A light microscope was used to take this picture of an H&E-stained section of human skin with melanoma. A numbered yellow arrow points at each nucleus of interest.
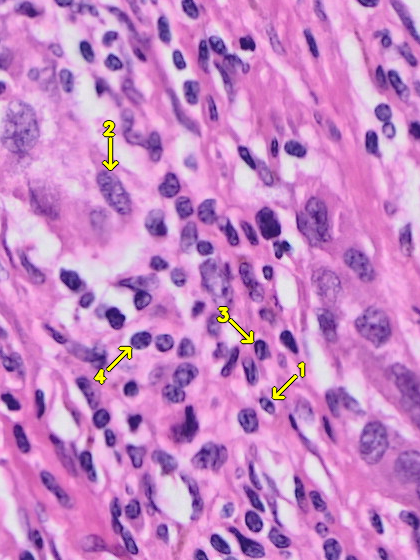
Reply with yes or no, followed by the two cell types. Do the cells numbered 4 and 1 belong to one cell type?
Yes, cells 4 and 1 are both termed lymphocytes.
